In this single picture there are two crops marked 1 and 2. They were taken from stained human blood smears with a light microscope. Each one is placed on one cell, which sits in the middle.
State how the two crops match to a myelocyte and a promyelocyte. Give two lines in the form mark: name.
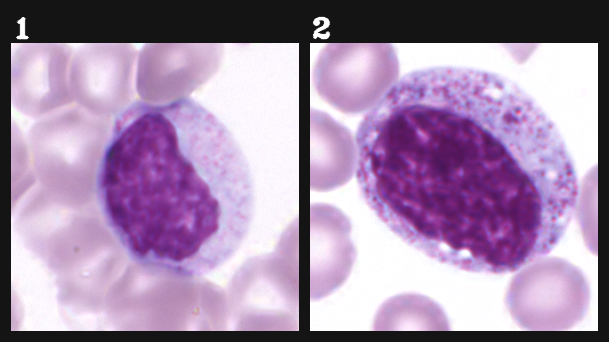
1: myelocyte
2: promyelocyte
